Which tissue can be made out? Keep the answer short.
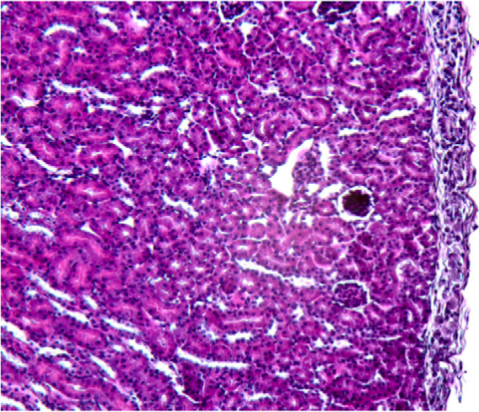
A: Kidneys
